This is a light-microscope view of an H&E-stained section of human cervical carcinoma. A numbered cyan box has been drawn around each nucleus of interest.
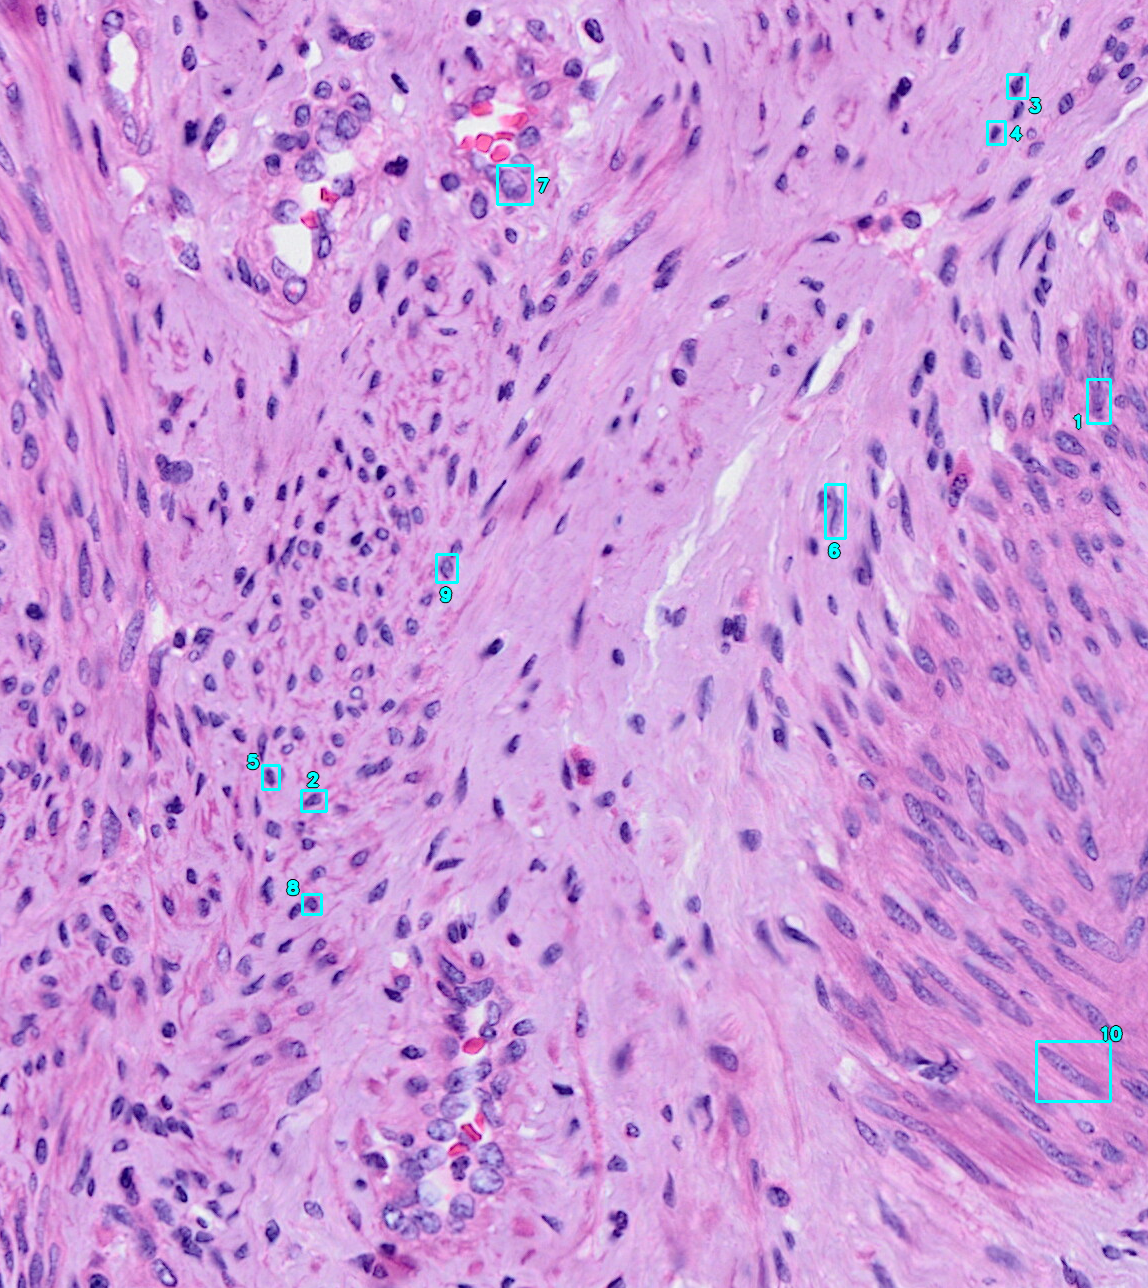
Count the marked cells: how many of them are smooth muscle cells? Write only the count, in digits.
6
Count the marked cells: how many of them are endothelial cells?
1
